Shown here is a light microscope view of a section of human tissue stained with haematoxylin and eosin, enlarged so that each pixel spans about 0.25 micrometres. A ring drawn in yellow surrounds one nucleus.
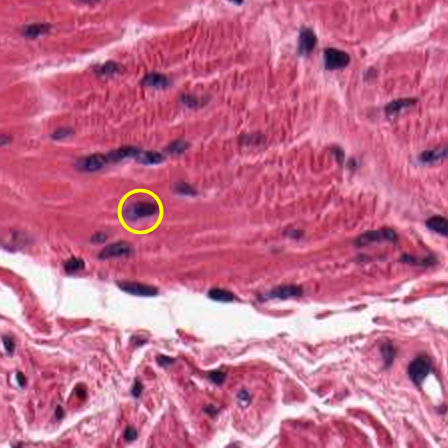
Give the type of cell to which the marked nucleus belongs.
smooth muscle cell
